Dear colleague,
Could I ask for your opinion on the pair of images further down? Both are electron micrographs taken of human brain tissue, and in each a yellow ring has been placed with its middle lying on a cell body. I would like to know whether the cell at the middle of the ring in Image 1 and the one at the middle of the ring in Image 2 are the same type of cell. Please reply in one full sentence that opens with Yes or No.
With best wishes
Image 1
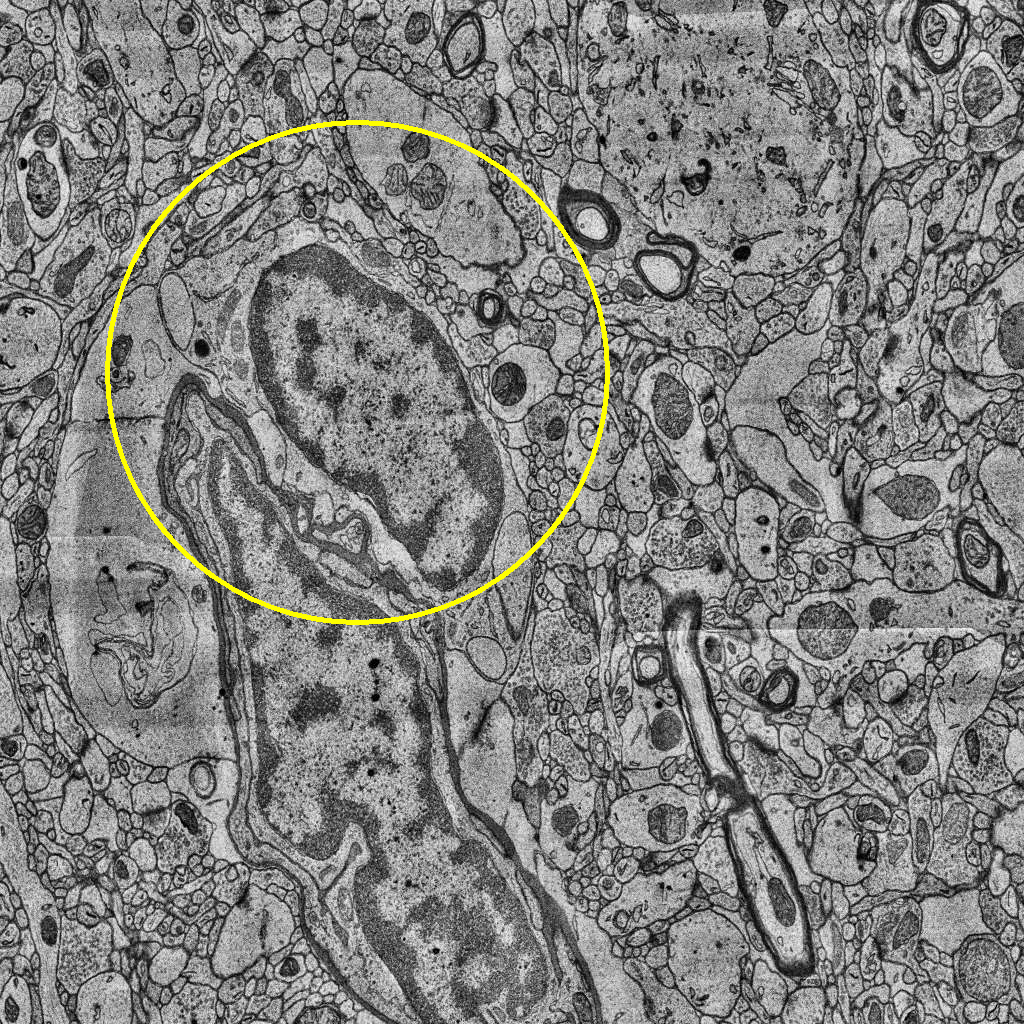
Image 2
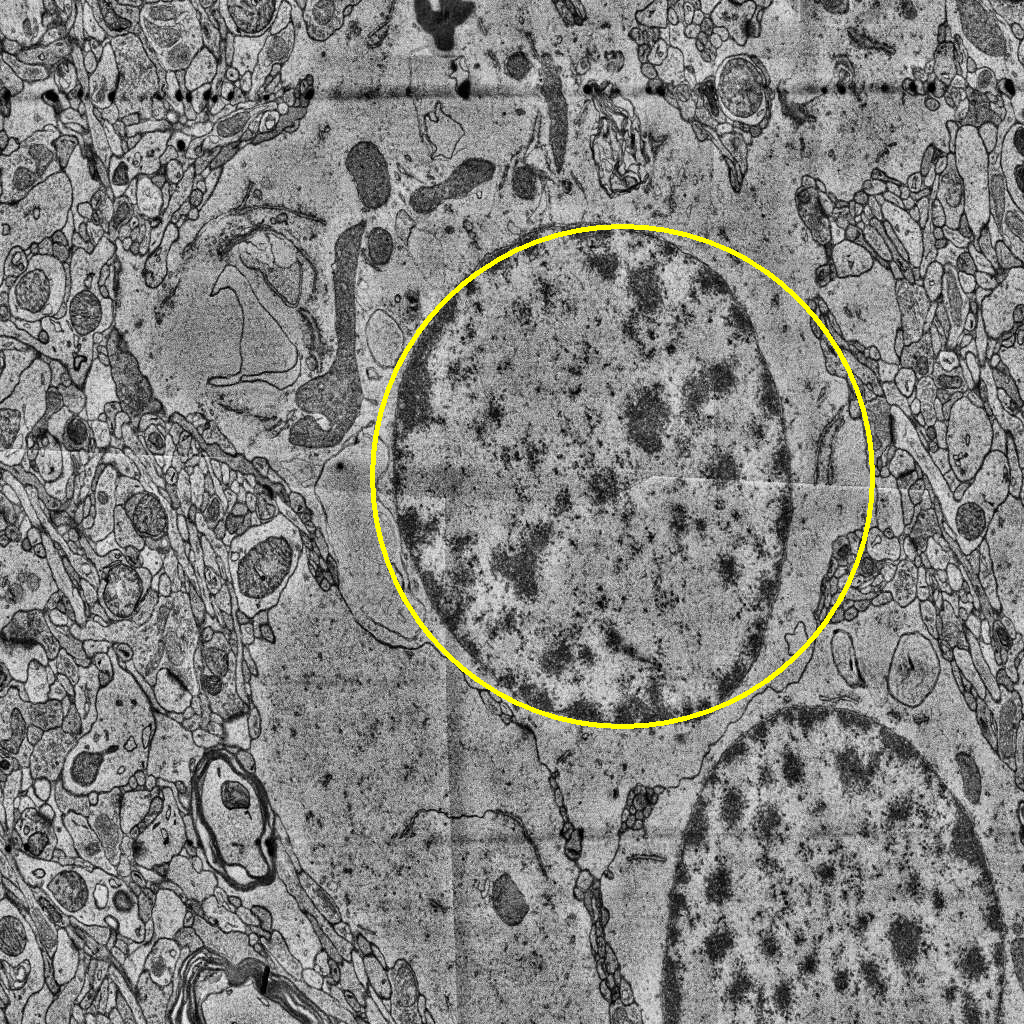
No, the cells at the ring centres in Image 1 and Image 2 are of two types.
